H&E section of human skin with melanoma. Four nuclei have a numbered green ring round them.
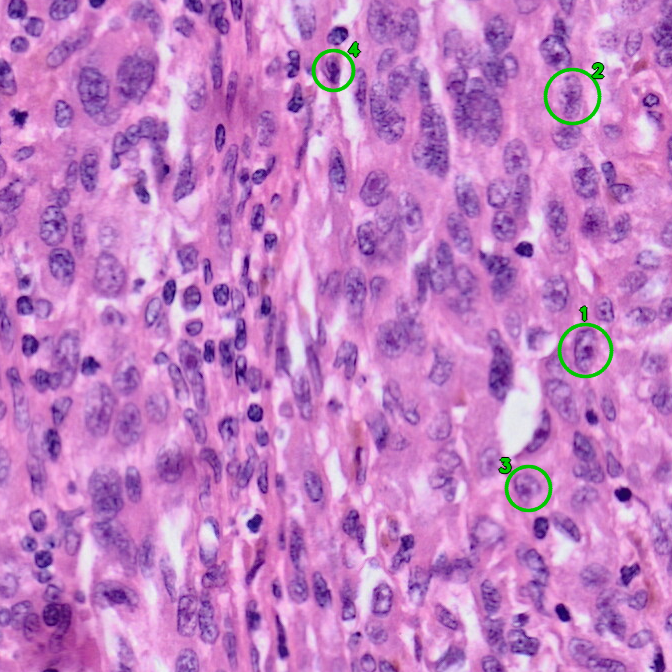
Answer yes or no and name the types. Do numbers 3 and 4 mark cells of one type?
No, just to clarify, cell 3 is a melanoma cell and cell 4 is a macrophage or monocyte.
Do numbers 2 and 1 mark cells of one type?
Yes, cell number 2 and cell number 1 are both melanoma cells.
